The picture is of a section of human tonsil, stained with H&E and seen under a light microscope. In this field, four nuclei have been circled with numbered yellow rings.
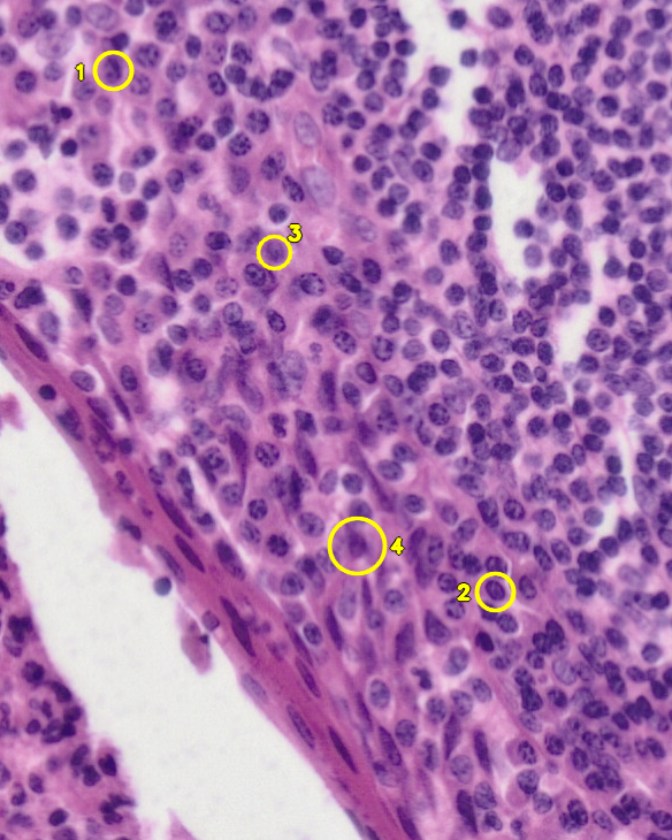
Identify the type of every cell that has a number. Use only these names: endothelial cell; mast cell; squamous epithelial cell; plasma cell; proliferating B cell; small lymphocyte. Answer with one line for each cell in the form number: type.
1: plasma cell
2: plasma cell
3: plasma cell
4: squamous epithelial cell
